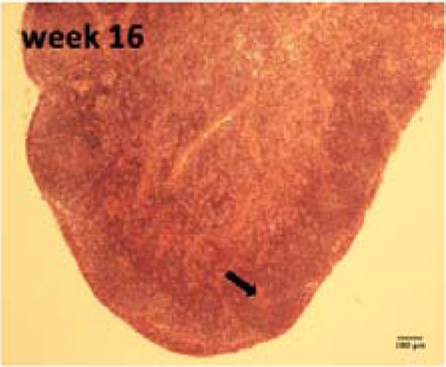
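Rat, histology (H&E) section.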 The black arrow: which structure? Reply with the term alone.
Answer: Active germinal centers.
